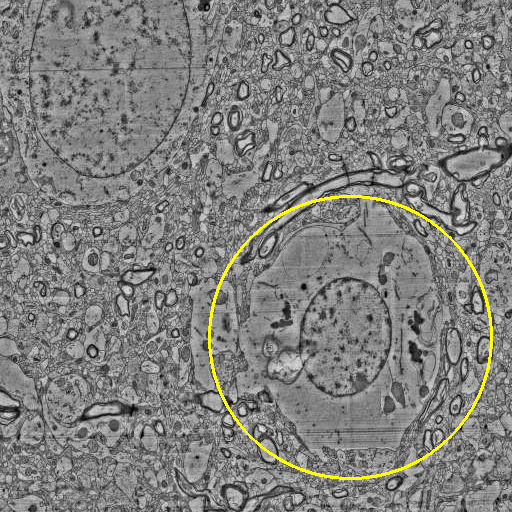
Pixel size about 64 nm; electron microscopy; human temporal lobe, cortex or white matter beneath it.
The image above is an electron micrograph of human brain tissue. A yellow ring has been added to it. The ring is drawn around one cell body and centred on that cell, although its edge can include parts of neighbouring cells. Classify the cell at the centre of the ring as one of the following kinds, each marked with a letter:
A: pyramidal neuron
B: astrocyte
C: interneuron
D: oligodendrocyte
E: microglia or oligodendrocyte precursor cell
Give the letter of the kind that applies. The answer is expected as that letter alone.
B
